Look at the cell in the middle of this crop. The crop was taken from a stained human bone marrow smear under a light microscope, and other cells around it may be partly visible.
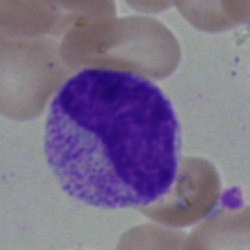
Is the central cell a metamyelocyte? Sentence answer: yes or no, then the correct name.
Yes, what sits in the middle of the crop is a metamyelocyte.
